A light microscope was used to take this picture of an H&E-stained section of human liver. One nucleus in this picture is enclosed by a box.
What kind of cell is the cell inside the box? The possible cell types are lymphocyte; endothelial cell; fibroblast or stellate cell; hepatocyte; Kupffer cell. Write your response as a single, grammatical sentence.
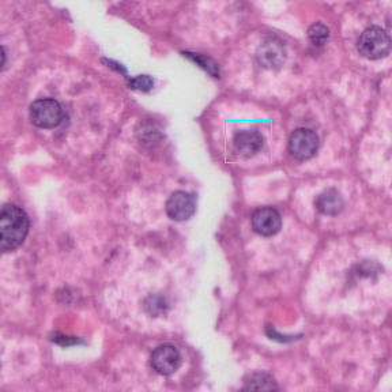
In this field of tissue, the cell inside the box is a hepatocyte.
